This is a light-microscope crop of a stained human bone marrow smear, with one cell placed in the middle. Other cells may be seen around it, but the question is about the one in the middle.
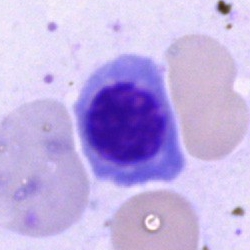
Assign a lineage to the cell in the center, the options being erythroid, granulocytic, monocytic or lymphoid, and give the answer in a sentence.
The cell in the middle is allocated to the erythroid lineage.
